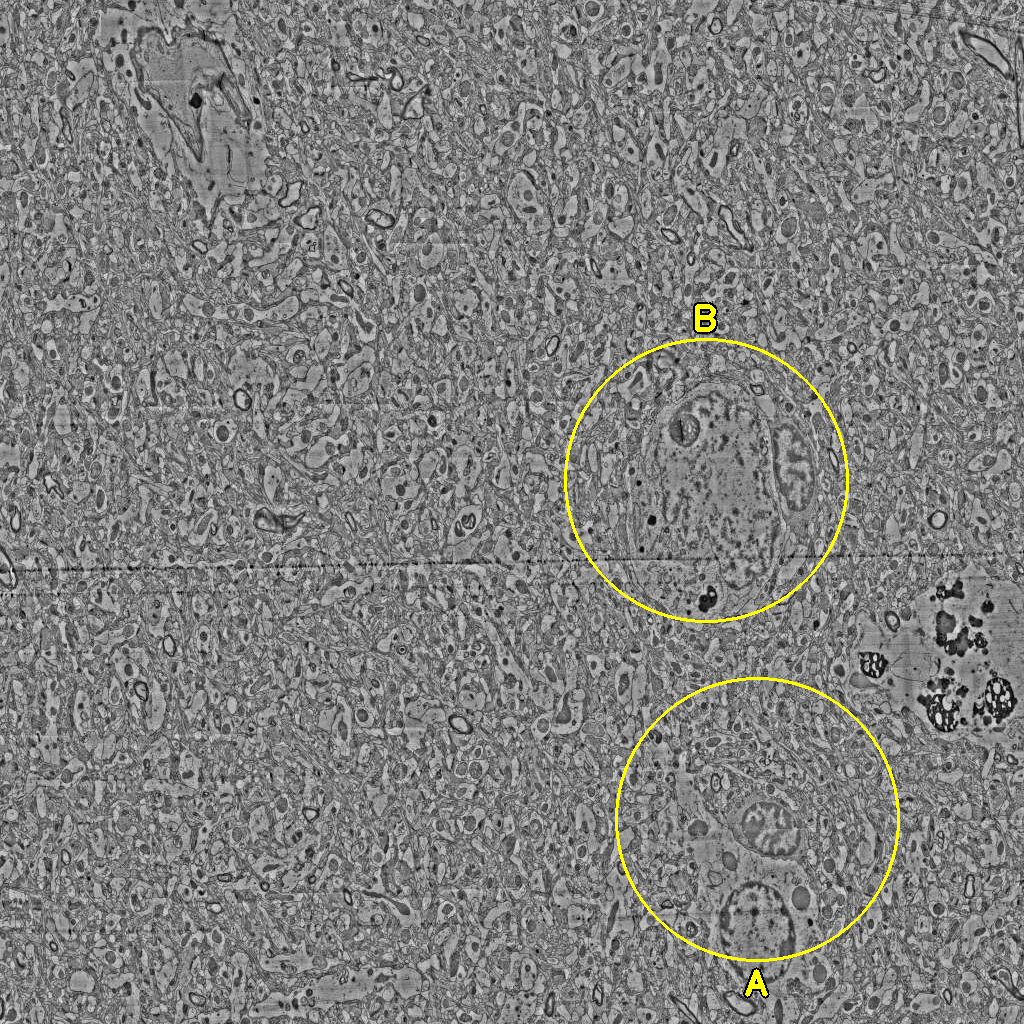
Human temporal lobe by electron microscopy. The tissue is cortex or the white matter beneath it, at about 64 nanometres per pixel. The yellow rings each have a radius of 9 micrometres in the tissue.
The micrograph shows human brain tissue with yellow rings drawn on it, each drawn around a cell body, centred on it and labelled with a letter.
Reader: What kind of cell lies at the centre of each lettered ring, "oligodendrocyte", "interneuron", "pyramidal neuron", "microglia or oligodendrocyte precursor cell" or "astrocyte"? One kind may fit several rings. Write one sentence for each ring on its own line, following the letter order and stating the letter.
At the centre of ring A lies an oligodendrocyte.
At the centre of ring B lies an interneuron.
